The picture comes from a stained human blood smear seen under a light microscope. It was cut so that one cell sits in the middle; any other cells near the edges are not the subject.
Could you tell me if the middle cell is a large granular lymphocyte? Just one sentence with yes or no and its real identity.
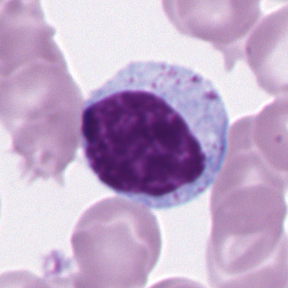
Yes, the central element of the crop is a large granular lymphocyte.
